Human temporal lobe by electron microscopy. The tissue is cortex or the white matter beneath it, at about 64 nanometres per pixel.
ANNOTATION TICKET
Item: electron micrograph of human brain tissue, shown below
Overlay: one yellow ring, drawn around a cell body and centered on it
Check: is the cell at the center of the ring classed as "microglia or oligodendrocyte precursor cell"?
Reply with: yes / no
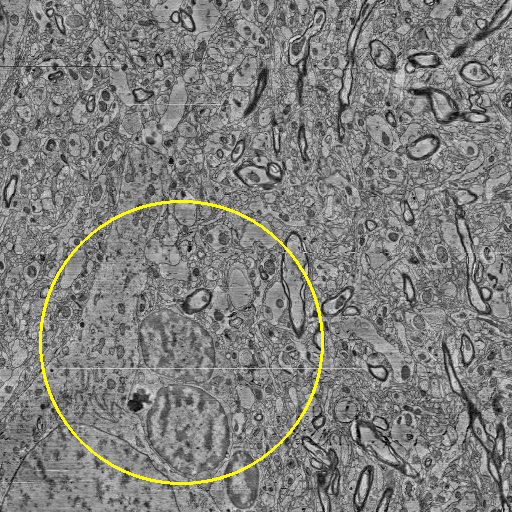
no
